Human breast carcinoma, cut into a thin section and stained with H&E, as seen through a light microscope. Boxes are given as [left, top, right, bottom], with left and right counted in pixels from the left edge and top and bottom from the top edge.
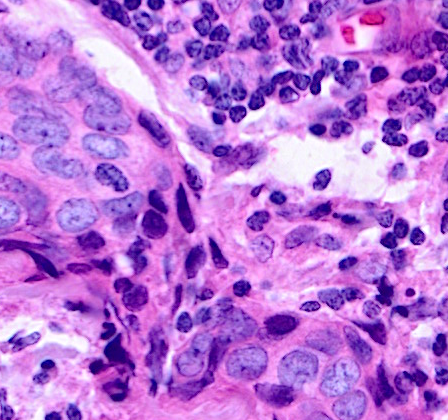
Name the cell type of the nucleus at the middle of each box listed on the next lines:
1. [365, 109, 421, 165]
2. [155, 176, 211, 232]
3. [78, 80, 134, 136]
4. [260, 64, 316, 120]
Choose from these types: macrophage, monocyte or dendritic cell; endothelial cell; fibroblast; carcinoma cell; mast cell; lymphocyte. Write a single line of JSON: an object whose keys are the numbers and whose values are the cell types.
{"1": "lymphocyte", "2": "carcinoma cell", "3": "carcinoma cell", "4": "lymphocyte"}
